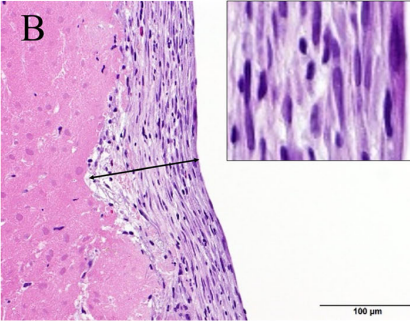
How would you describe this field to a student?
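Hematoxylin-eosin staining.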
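On the left lies pale pink tissue with faint, scattered nuclei, and toward the right edge it gives way to a band packed with spindle-shaped cells whose dark, elongated nuclei all lie parallel to the surface. In the enlarged view these nuclei are cigar-shaped and set in wavy pink fibres, as in young granulation or scar tissue. The outermost edge of the band is smooth and sharply bounded.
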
